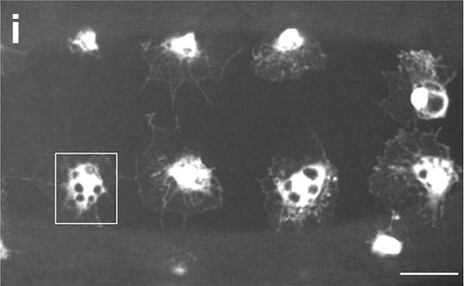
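Plasmatocytes spread along the ventral midline of the embryo, seen as bright labelled cells arranged in two rough rows. The cytoplasm of several cells holds multiple round dark vacuoles, giving a bubbly look. The boxed cell shows about half a dozen such vacuoles around a brighter central area. Cells are spaced apart at fairly regular intervals.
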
